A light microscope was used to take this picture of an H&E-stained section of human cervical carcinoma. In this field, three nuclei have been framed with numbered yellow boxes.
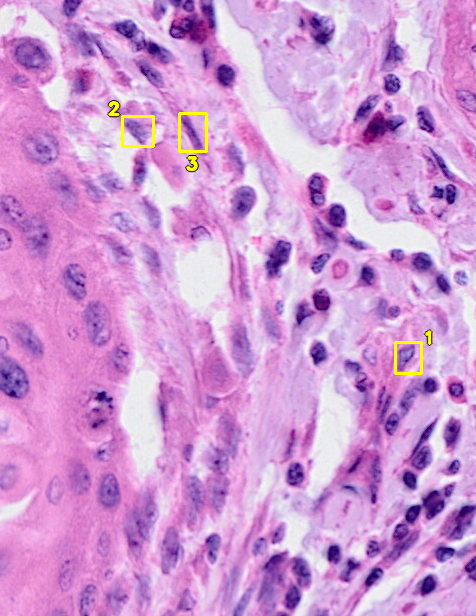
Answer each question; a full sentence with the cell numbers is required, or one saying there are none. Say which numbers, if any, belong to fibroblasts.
The cells tagged 2 and 3 are fibroblasts in this tissue section.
